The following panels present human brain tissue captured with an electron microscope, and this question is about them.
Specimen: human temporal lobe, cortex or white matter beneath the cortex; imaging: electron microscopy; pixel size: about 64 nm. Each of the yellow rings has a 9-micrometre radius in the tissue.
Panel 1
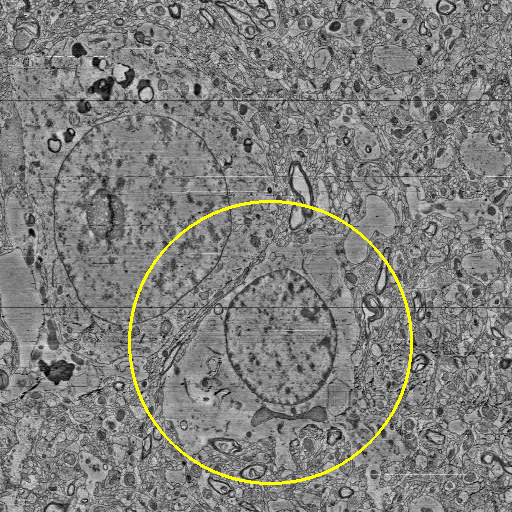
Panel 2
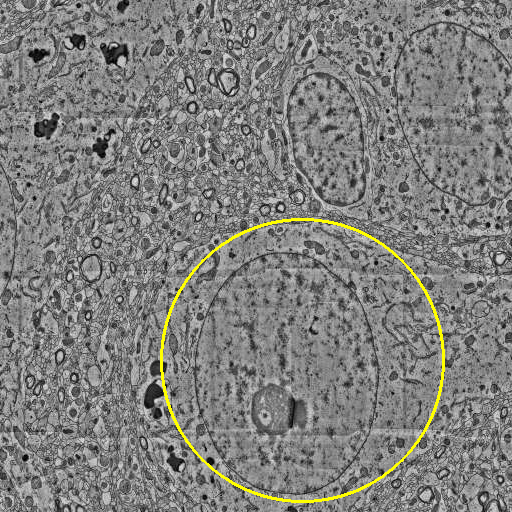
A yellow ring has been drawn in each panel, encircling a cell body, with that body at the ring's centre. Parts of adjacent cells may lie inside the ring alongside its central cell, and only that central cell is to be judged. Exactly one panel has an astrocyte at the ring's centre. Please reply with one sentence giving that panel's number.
The ring whose central cell fits the description is the one in panel 1.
